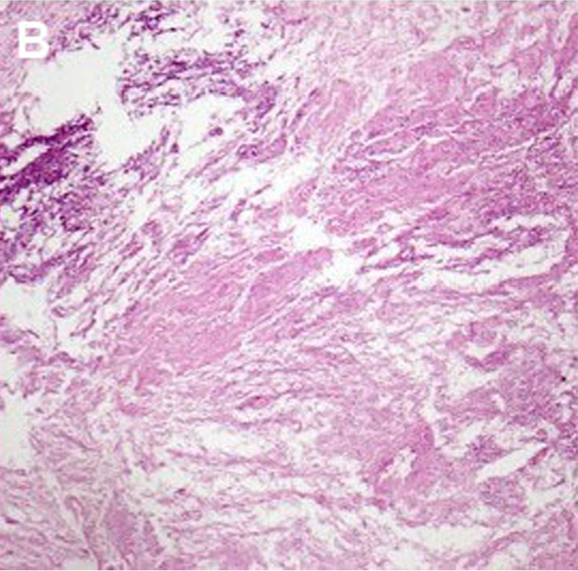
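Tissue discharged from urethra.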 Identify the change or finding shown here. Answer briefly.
Degenerative and necrotic tissue with calcification.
